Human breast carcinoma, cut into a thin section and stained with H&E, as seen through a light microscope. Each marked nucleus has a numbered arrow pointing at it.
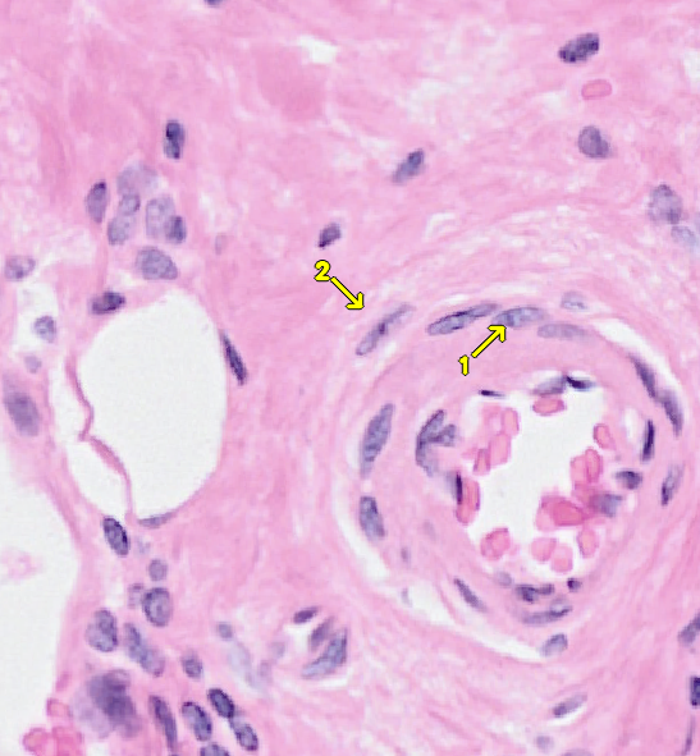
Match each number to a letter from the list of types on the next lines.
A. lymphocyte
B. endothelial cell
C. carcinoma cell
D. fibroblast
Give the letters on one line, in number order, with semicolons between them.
B; D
